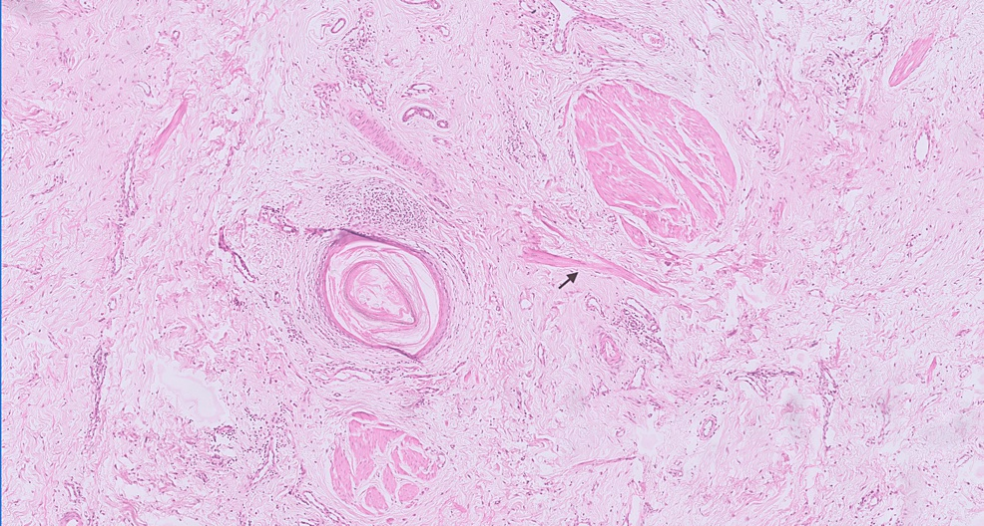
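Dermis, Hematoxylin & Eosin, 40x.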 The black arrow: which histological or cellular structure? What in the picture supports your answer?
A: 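The arrow points to a slender, elongated band of smooth, evenly pink tissue lying obliquely in the dermis. The band is more deeply eosinophilic and more homogeneous than the surrounding wavy collagen. It lies near a hair follicle cross-section in the dermis. The answer: arrector pili.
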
